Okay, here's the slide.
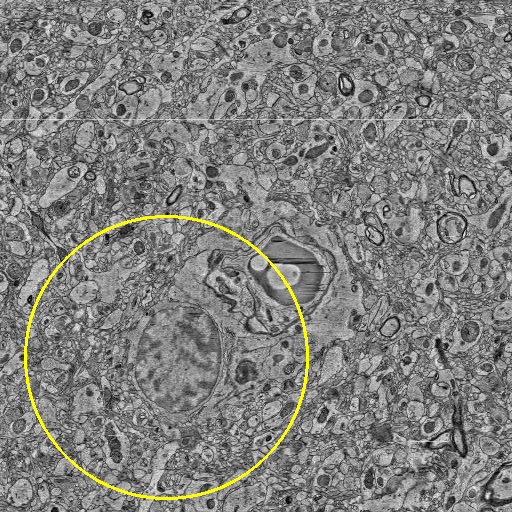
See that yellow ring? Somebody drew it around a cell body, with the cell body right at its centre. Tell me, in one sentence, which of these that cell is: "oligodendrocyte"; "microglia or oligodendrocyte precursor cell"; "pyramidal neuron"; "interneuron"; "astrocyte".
The cell in the middle of the ring is an oligodendrocyte.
